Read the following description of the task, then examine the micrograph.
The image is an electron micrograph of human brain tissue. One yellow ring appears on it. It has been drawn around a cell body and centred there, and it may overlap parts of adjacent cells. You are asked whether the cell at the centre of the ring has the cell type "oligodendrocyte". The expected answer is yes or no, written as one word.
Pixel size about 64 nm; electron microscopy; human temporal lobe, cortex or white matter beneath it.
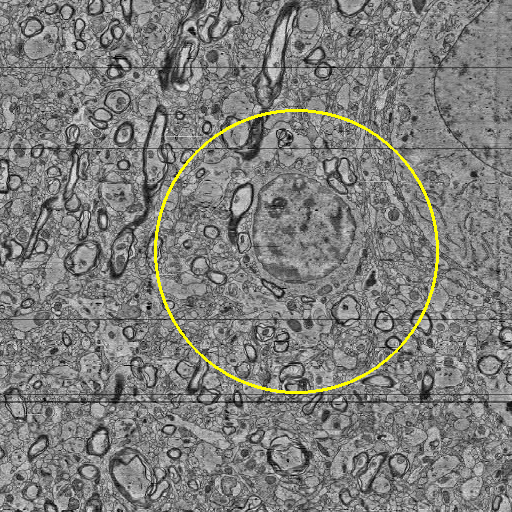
yes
